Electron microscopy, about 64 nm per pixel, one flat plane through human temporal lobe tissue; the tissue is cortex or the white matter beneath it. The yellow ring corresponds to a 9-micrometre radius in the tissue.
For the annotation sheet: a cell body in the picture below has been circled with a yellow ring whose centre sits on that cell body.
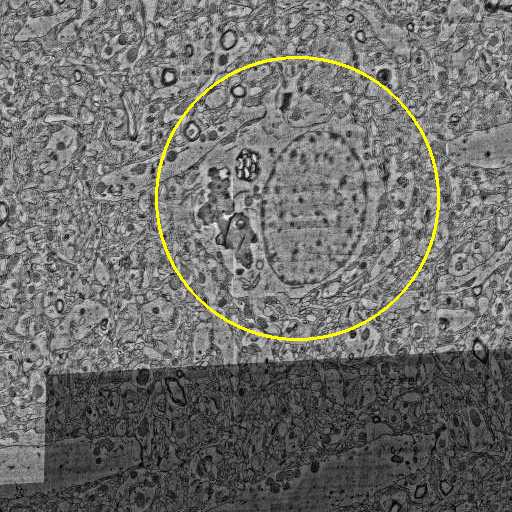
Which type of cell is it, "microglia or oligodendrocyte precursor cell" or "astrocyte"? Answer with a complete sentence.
The circled cell is an astrocyte.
